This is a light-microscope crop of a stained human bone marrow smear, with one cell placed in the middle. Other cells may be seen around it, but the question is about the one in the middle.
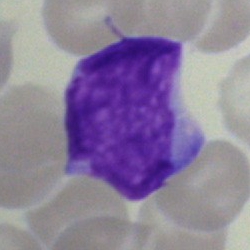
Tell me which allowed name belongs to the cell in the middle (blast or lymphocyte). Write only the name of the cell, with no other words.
blast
